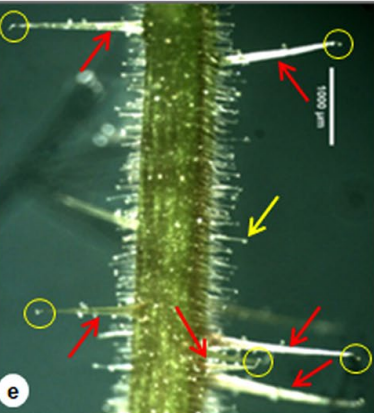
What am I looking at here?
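This is the surface of a plant stem covered with many epidermal hairs, among which several large prickles stand out. The prickles are long, thick, pale and rigid, projecting straight out from the stem far beyond the dense layer of fine hairs. The finer hairs are slender and numerous along both edges of the stem, and some end in a small rounded head typical of glandular trichomes. The stem itself appears as a green, densely haired cylinder running down the middle of the field.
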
